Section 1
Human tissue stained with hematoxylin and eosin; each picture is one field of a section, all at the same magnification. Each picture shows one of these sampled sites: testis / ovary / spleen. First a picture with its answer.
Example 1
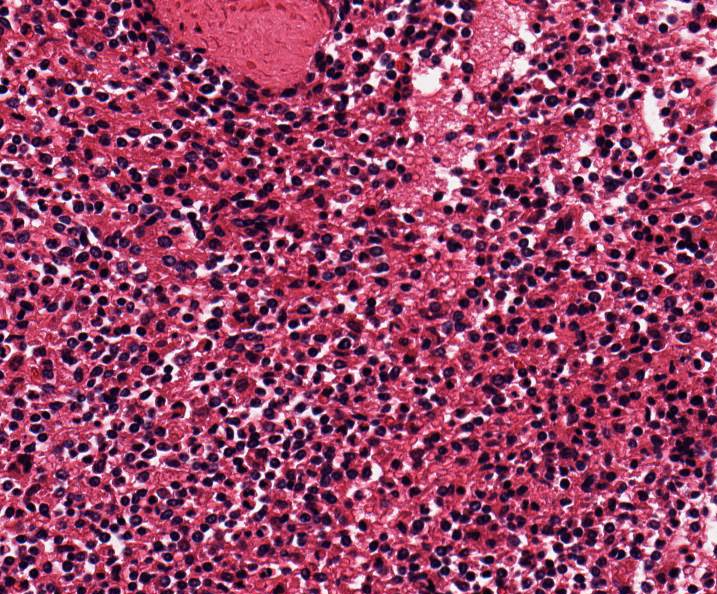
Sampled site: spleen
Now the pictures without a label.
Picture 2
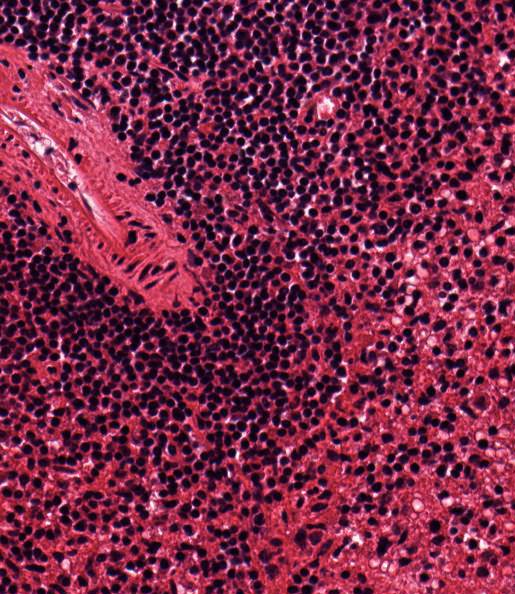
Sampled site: spleen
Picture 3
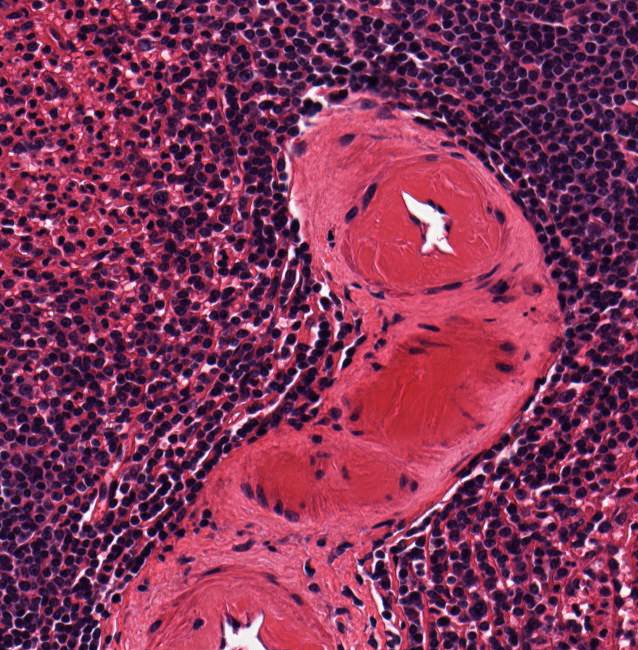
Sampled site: spleen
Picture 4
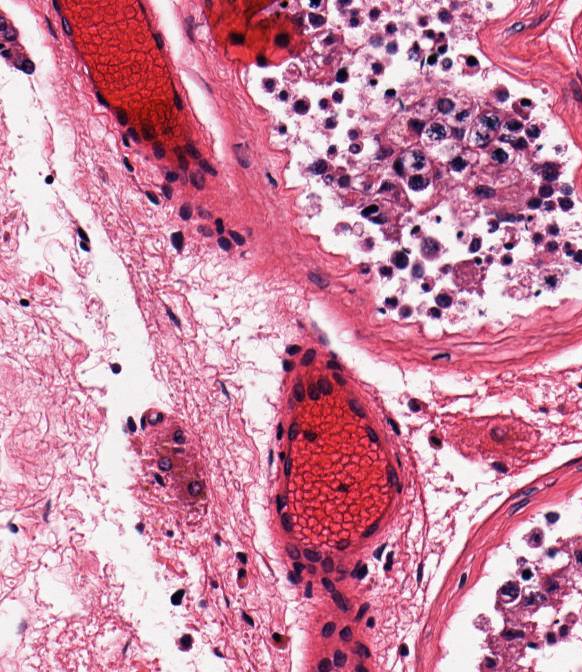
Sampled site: testis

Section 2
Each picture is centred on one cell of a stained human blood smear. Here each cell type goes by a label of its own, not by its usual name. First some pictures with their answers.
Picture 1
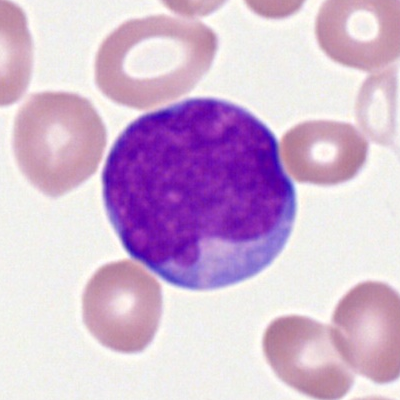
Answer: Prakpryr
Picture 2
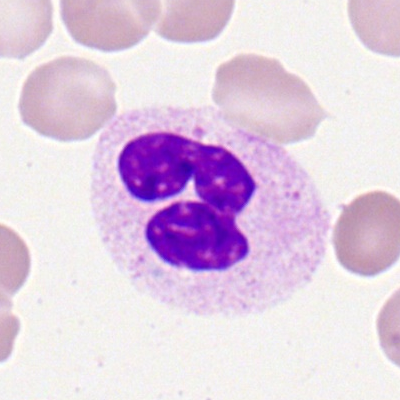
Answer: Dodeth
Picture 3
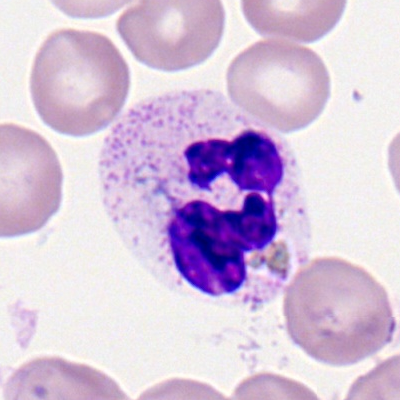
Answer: Dodeth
